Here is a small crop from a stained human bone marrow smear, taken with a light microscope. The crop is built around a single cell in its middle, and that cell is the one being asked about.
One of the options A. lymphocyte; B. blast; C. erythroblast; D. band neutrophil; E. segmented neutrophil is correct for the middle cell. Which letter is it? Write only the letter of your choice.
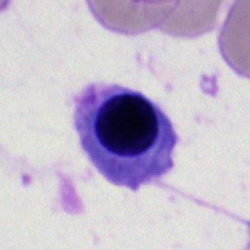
C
